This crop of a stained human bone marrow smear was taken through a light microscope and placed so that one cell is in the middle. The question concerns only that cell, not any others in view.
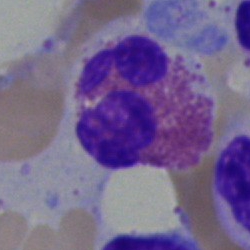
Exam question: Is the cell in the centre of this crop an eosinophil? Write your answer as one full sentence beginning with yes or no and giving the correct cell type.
Yes, it is an eosinophil that is seen at the centre of the crop.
